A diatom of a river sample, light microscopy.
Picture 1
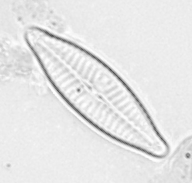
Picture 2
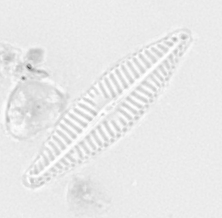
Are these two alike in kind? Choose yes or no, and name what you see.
Yes. Navicula.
